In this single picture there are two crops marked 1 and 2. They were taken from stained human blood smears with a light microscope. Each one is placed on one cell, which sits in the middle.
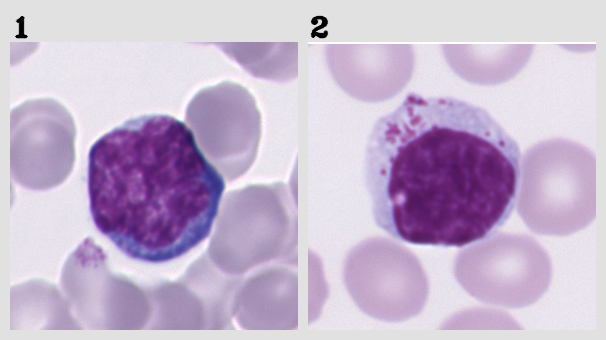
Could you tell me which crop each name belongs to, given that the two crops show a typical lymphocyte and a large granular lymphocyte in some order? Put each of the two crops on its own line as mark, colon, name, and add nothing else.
1: typical lymphocyte
2: large granular lymphocyte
